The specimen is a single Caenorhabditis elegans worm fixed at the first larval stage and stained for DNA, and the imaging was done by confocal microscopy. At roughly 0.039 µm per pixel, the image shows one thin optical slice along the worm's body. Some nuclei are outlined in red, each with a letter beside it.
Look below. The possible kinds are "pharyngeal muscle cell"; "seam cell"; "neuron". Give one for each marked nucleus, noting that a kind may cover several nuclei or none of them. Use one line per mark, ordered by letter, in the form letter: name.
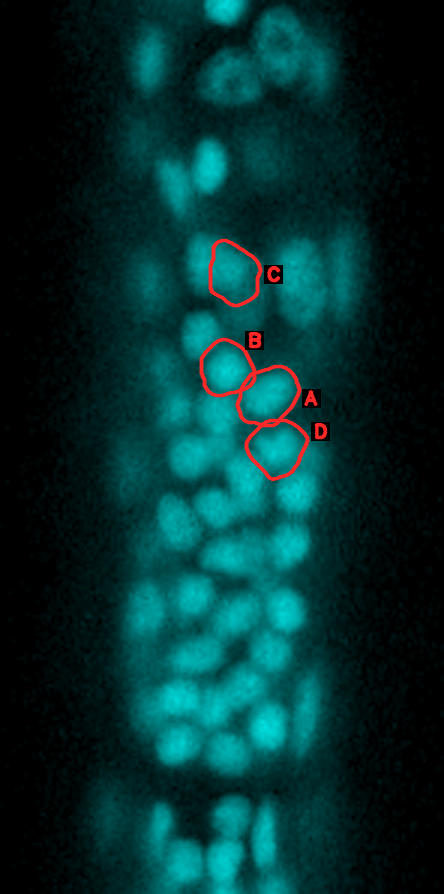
A: neuron
B: neuron
C: pharyngeal muscle cell
D: neuron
